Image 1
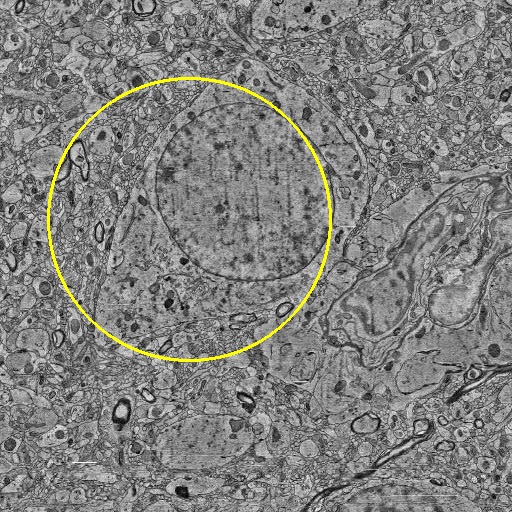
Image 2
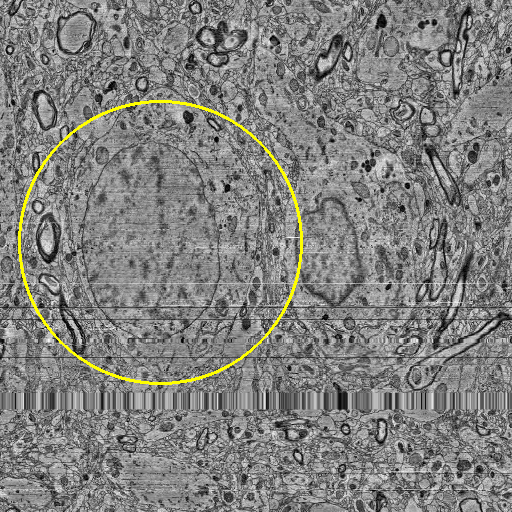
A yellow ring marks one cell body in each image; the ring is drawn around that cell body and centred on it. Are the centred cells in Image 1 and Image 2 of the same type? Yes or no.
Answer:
yes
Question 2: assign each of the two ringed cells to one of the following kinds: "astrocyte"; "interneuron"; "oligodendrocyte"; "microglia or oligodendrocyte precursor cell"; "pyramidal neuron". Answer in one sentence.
Each of the two cells is a pyramidal neuron.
